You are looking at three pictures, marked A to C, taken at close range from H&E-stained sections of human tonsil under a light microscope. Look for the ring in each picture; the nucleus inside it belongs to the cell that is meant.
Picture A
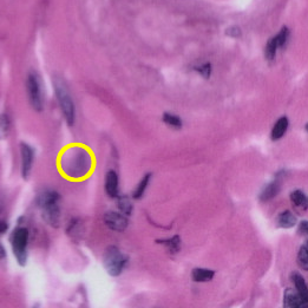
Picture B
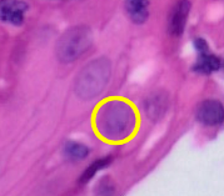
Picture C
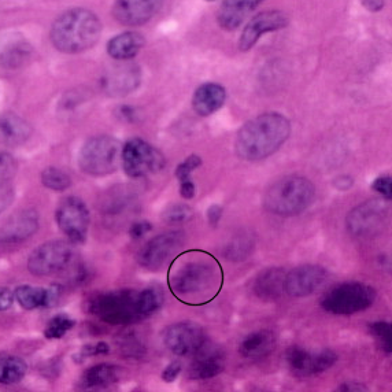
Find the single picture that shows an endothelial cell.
A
